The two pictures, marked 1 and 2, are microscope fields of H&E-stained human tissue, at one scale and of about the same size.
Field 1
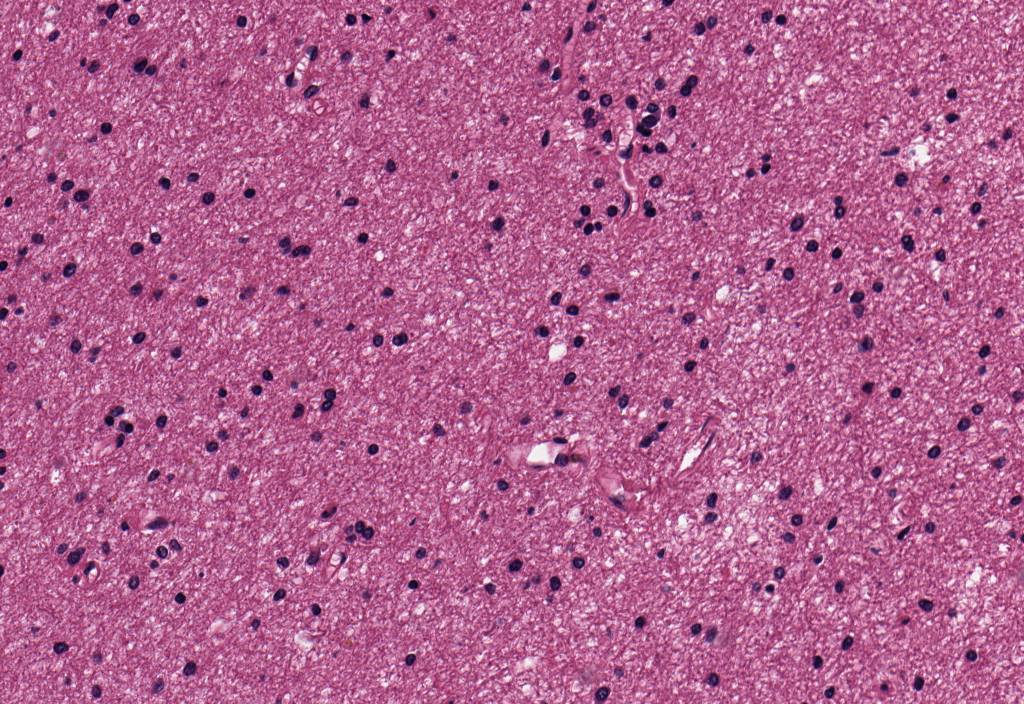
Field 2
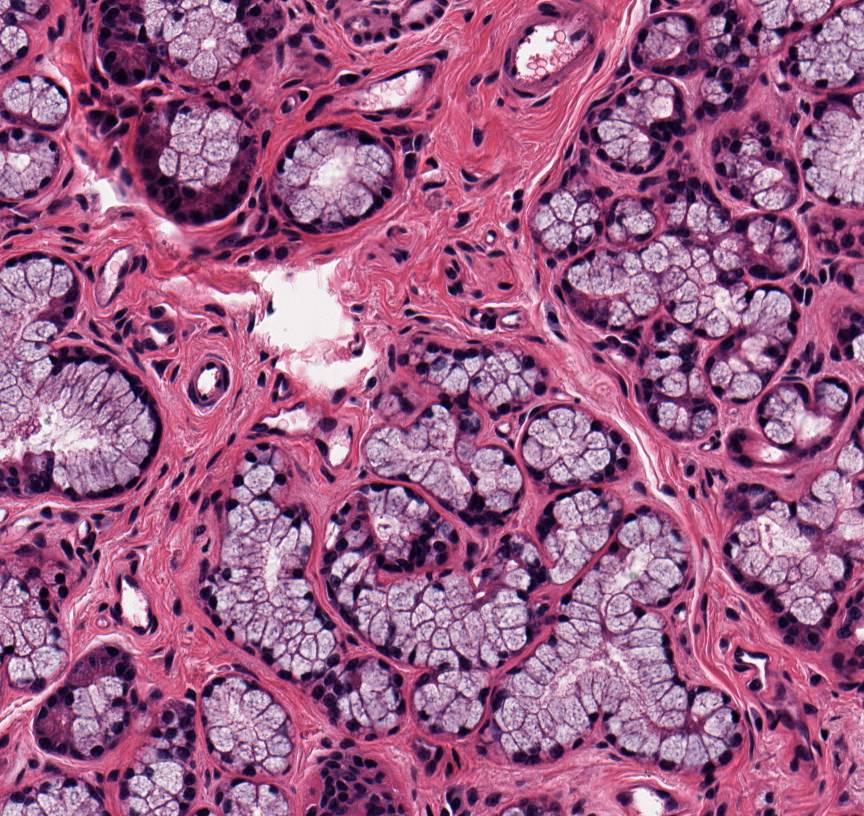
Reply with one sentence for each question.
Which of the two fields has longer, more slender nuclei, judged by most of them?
On the whole the nuclei of field 2 are more drawn out than those of field 1.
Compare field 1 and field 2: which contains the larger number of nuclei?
Field 2 holds more nuclei than field 1.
